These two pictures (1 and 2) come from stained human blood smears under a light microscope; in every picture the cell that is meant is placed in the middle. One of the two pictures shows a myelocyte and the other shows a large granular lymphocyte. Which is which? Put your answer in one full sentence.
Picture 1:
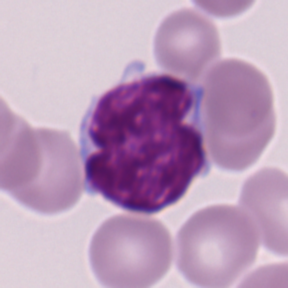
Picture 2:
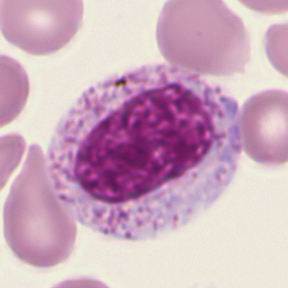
The cell in picture 1 is a large granular lymphocyte, and the one in picture 2 is a myelocyte.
